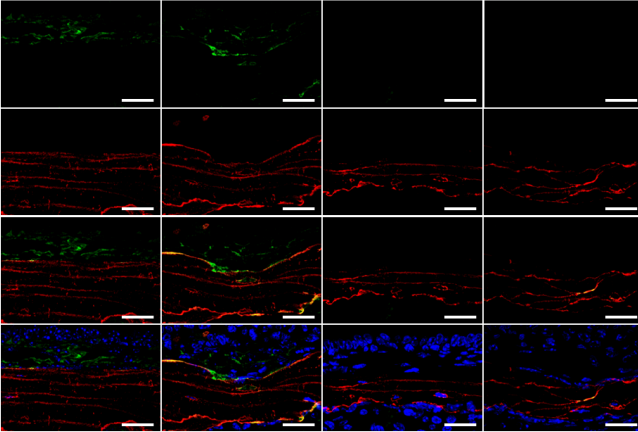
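In the red rows, long, thin, wavy bands run roughly horizontally across the field in several parallel lines, tracing thin plates of tissue. The green signal appears as irregular clusters and streaks in some columns only, lying near or along these red bands. Where green and red overlap, short yellow stretches show along the bands. In the bottom row the blue nuclei are crowded densely above and among the bands, showing how many cells lie in the layers covering and surrounding them.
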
